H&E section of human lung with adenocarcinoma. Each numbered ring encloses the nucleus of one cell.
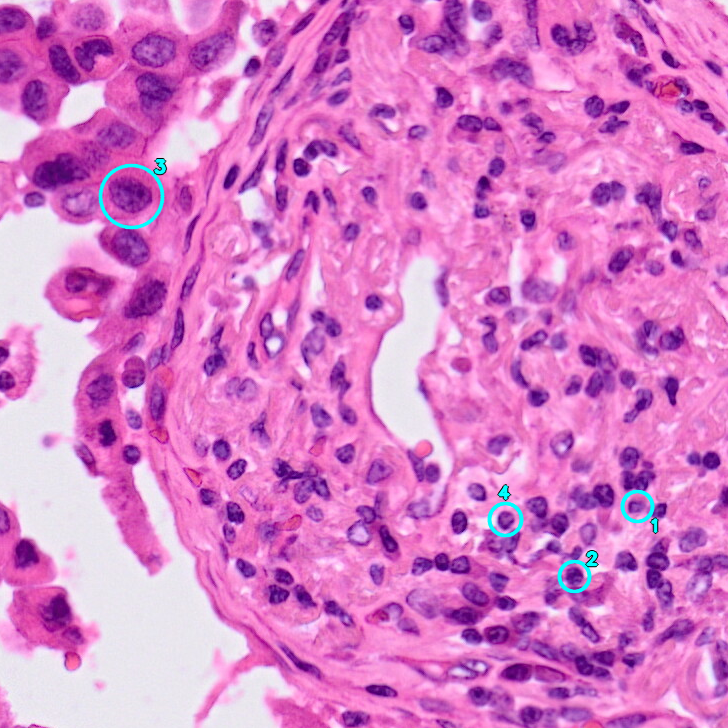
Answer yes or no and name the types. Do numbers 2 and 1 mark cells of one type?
Yes, both cell 2 and cell 1 are classified as lymphocytes.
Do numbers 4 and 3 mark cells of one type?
No, here cell 4 is a lymphocyte, whereas cell 3 is a carcinoma cell.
